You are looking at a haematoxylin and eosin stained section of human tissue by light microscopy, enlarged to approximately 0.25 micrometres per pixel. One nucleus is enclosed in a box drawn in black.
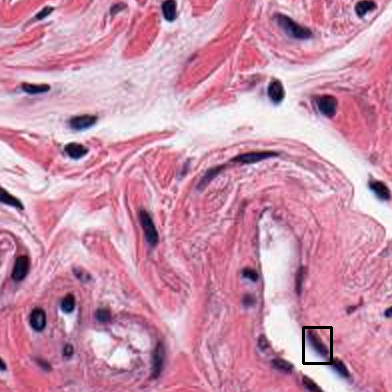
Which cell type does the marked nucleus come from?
endothelial cell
